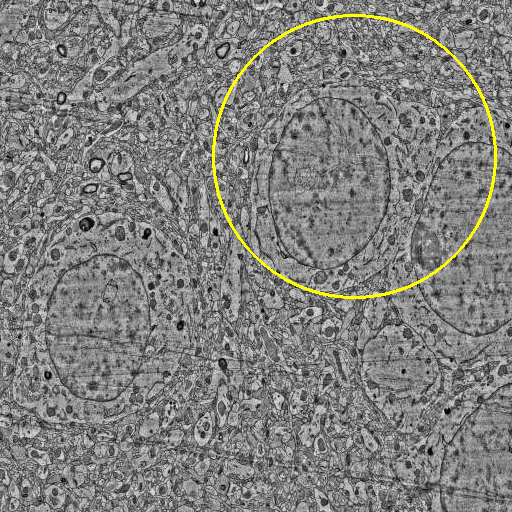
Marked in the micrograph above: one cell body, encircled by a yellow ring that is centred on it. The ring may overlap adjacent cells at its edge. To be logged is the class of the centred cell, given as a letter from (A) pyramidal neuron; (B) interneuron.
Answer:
A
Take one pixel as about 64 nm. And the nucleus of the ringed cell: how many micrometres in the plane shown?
Approximately 11 micrometres long and 8 micrometres wide, in this plane.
